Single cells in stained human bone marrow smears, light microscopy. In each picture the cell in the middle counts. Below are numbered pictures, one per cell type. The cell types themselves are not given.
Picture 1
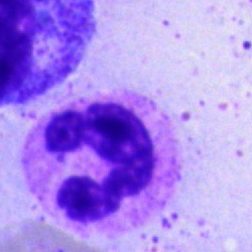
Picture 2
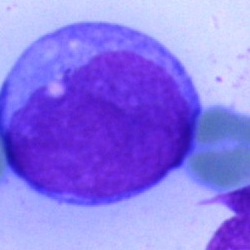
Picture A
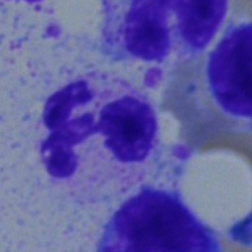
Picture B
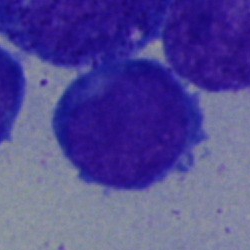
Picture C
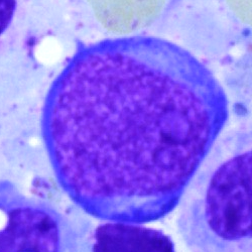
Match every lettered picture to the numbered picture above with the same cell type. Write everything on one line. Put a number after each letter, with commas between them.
A 1, B 2, C 2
